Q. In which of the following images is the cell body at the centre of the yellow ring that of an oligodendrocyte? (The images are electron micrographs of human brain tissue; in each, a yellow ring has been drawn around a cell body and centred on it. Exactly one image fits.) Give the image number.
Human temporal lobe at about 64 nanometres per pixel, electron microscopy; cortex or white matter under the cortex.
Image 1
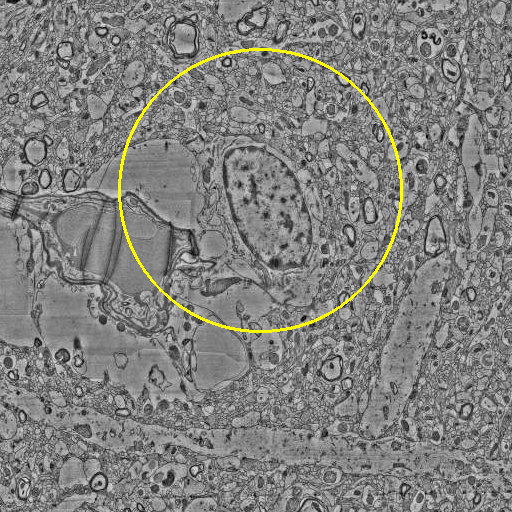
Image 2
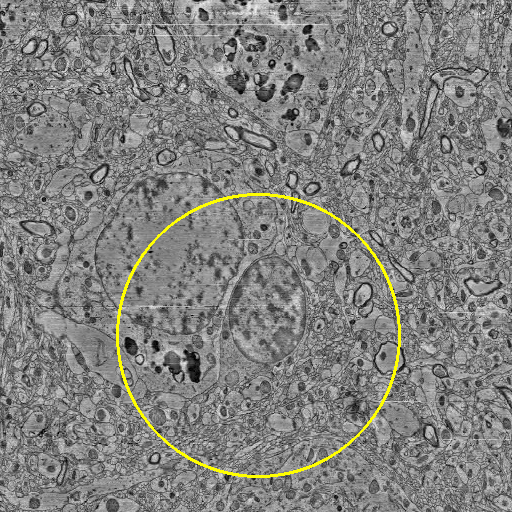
2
